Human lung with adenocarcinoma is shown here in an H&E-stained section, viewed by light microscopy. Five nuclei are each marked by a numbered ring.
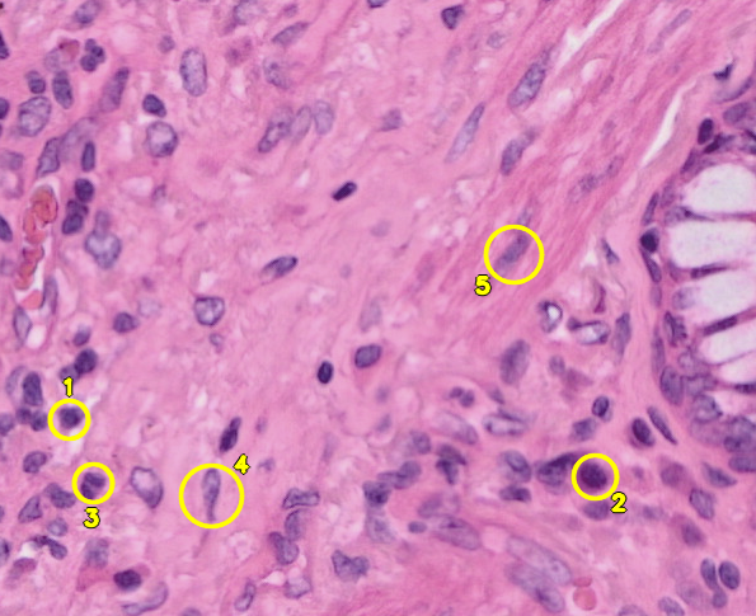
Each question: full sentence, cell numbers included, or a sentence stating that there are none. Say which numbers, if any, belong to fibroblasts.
Cell 4 is the one numbered cell that is a fibroblast.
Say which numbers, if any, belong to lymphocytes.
The cells 1 and 3 in this section are lymphocytes.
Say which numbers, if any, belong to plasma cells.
Of the numbered cells, only cell 2 is a plasma cell.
